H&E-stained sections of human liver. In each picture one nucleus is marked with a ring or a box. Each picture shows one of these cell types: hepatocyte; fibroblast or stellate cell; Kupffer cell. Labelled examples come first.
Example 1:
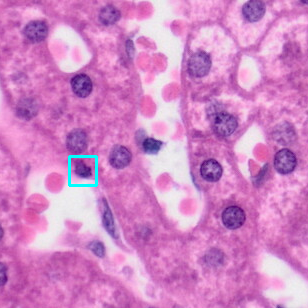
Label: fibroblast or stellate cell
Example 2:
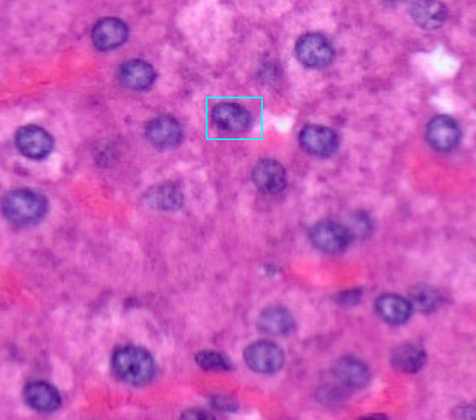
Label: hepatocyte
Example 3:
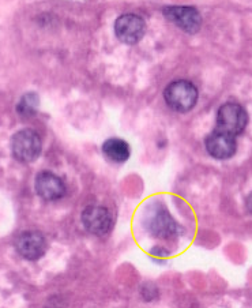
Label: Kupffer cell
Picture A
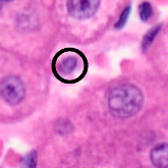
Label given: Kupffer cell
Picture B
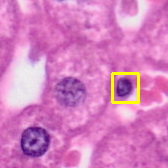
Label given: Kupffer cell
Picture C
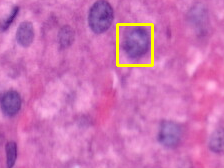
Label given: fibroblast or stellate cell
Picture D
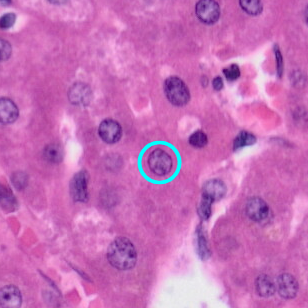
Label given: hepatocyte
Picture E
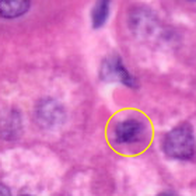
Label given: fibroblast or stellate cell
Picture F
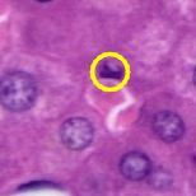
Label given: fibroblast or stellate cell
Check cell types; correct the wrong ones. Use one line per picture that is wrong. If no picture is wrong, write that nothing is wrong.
C: change fibroblast or stellate cell to hepatocyte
